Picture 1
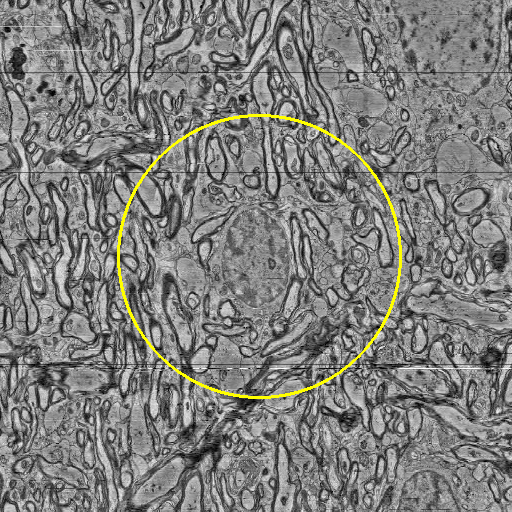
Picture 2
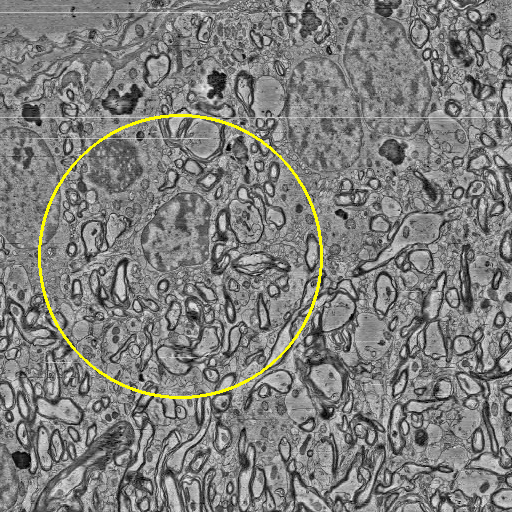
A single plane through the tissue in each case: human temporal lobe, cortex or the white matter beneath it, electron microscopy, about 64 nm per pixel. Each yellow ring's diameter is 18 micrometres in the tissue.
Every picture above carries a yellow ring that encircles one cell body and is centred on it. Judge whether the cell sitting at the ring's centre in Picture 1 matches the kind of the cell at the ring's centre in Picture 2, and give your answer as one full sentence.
No, the cells centred in the rings of Pictures 1 and 2 belong to two kinds.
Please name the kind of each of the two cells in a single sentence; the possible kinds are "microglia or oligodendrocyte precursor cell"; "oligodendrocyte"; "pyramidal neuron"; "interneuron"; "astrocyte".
In the first picture the ring is centred on an oligodendrocyte, and in the second on a microglial cell or oligodendrocyte precursor cell.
